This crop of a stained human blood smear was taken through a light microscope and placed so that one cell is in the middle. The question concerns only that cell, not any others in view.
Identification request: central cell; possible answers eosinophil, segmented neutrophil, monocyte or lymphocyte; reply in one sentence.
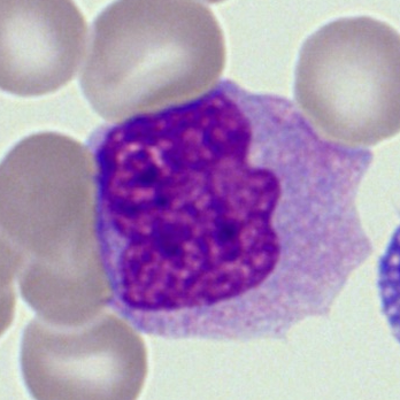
Seen at the centre of the crop is a monocyte.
